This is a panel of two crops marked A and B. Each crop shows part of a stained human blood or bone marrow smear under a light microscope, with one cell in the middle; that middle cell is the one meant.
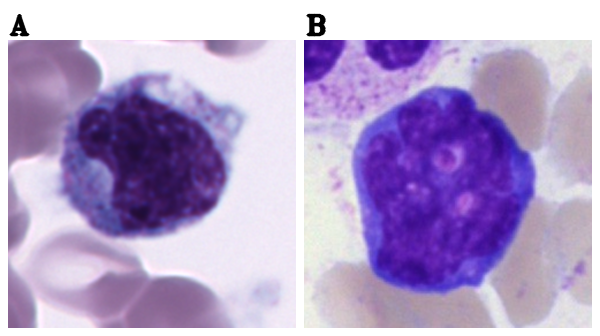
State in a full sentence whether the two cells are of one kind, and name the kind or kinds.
Yes, the cells centred in the two crops are both monocytes.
